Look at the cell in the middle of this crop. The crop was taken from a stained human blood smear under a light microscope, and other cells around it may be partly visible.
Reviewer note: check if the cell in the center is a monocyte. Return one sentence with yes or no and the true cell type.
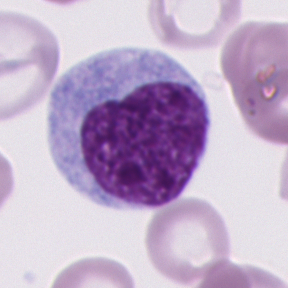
Yes, a monocyte is present in the middle of the crop.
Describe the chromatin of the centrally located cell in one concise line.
Answer: the chromatin in this nucleus is coarsely clumped.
